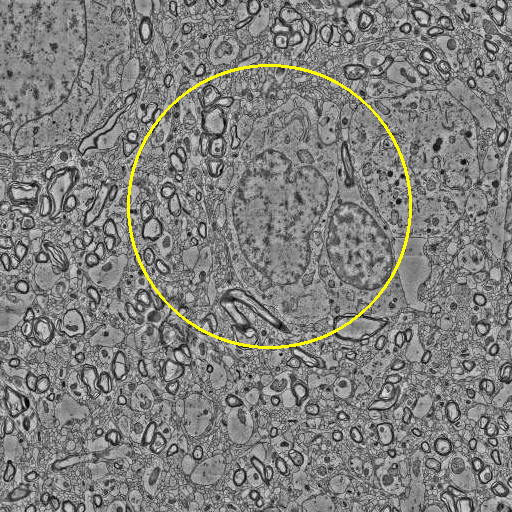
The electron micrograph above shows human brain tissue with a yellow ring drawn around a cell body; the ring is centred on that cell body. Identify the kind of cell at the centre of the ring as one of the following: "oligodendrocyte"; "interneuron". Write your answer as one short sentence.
The cell at the centre of the ring is an interneuron.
